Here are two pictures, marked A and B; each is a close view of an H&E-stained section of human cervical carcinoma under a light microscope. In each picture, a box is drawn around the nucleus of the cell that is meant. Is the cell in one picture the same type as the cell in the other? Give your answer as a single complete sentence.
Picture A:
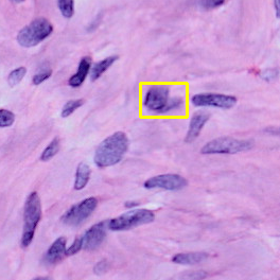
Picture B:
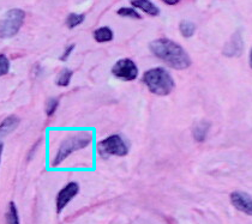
Yes; the cells in both pictures are fibroblasts.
